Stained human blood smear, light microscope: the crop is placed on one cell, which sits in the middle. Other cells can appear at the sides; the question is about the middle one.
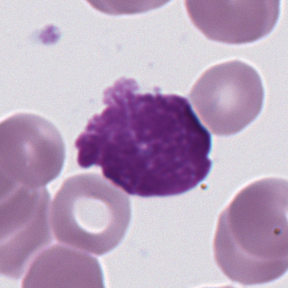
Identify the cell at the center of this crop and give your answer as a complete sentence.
The crop's centre is taken up by a smudge cell.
